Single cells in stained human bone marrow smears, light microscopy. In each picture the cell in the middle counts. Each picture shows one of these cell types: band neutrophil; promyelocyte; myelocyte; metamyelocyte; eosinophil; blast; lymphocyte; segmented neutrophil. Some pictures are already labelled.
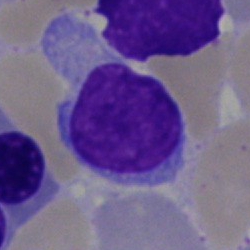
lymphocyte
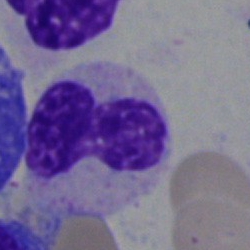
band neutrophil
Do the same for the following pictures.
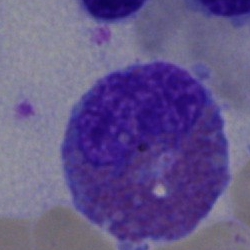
eosinophil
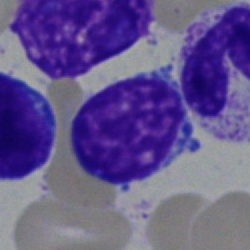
lymphocyte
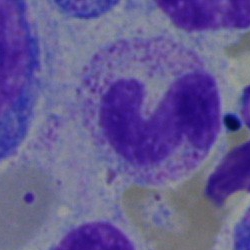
metamyelocyte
